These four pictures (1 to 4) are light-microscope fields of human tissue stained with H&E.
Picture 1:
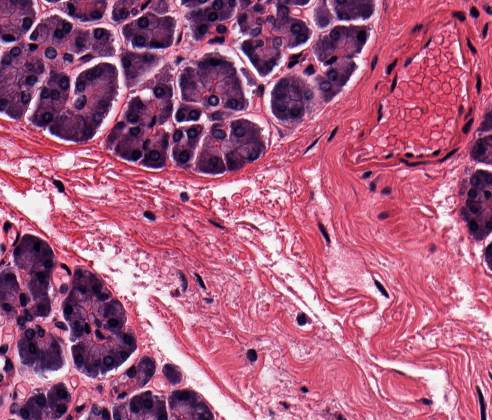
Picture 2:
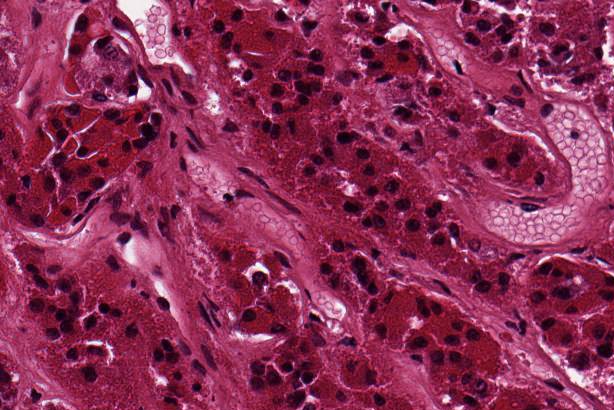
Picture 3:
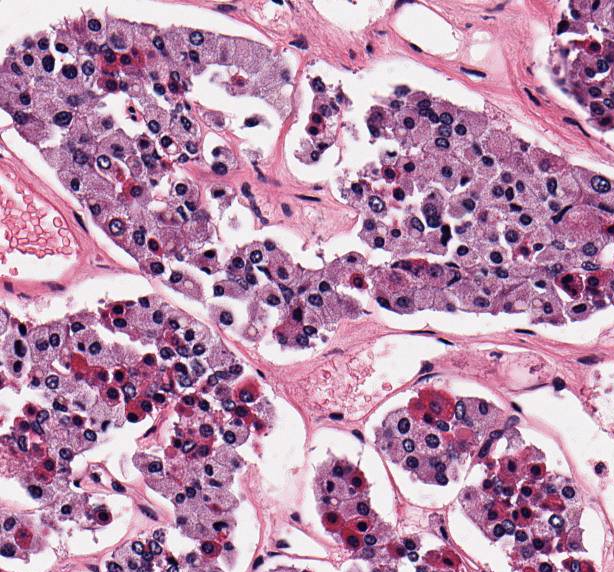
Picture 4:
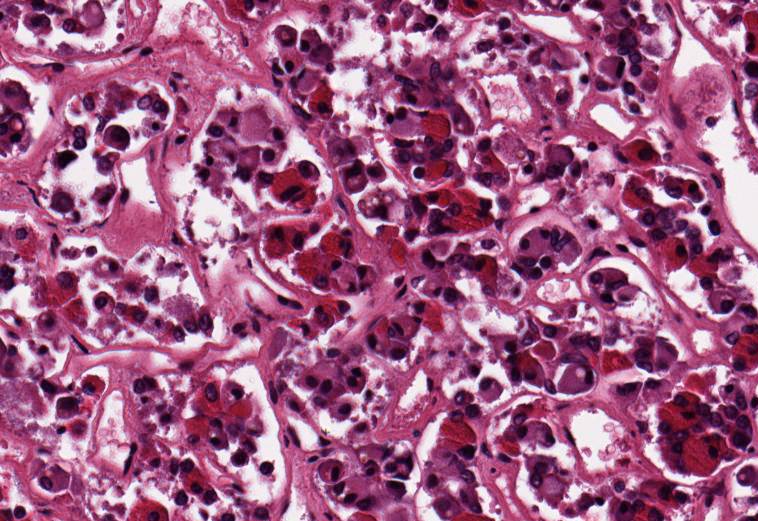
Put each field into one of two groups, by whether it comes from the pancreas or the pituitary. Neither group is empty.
1: pancreas
2: pituitary
3: pituitary
4: pituitary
